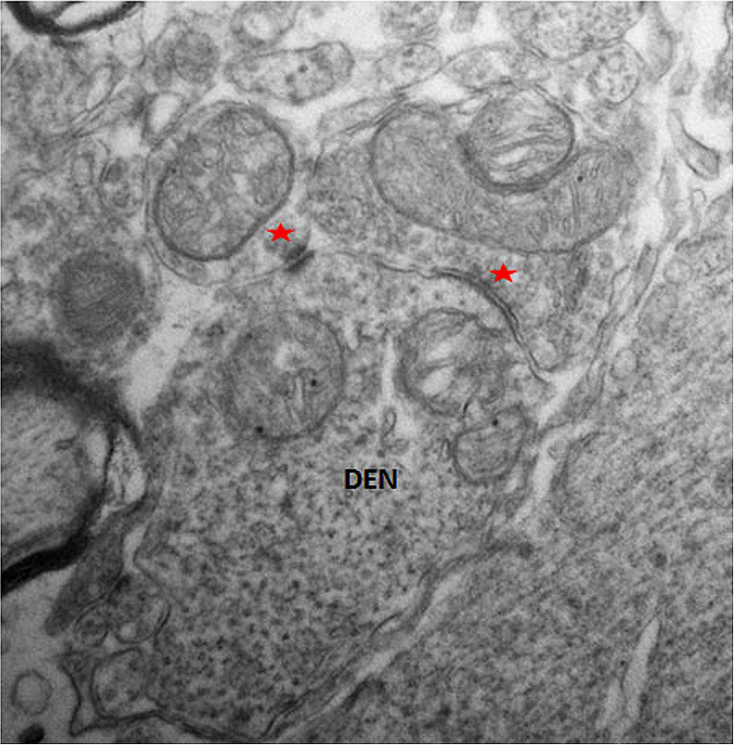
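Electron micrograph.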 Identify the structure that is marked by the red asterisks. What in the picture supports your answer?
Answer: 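Synapses. Each asterisk sits at a site where two membrane-bound profiles lie closely apposed. A short, dark, dense thickening of the apposed membranes lies next to the left asterisk. The profiles beside the asterisks contain mitochondria and small round vesicles.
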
